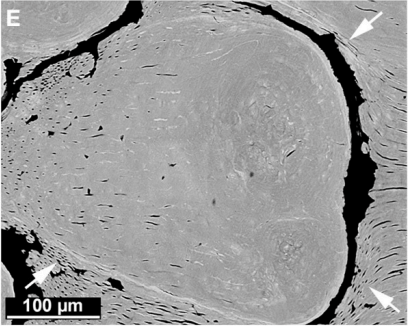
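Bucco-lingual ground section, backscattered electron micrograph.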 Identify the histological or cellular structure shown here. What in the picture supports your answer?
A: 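It is partly separated from the surrounding tissue by a dark crescent-shaped cleft. Faint concentric lamellae within the mass. So: denticle-like body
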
